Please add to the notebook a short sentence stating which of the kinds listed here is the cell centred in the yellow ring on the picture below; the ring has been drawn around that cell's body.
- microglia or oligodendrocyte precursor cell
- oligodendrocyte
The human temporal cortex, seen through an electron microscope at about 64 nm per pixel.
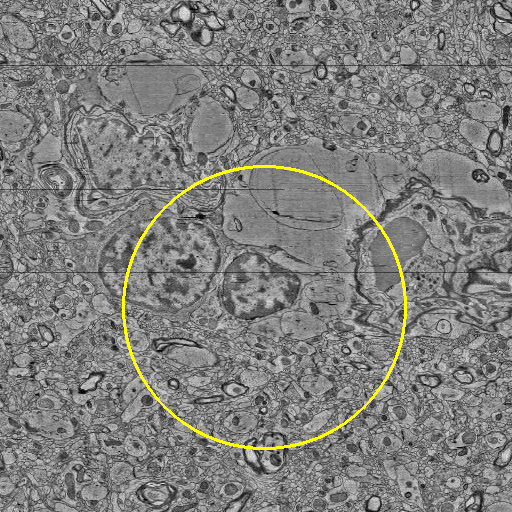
The cell centred in the yellow ring is a microglial cell or oligodendrocyte precursor cell.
